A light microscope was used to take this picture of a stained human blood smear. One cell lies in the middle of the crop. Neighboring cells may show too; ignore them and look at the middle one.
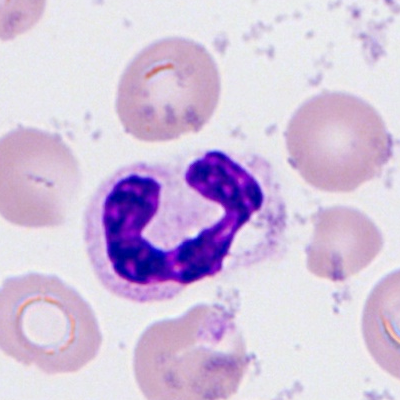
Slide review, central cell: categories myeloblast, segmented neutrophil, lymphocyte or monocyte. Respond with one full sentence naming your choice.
The cell positioned in the middle of the field is a segmented neutrophil.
